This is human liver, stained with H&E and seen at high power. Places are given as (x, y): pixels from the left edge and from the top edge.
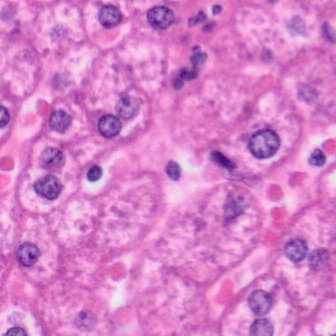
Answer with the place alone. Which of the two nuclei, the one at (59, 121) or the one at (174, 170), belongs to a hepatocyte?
(59, 121)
